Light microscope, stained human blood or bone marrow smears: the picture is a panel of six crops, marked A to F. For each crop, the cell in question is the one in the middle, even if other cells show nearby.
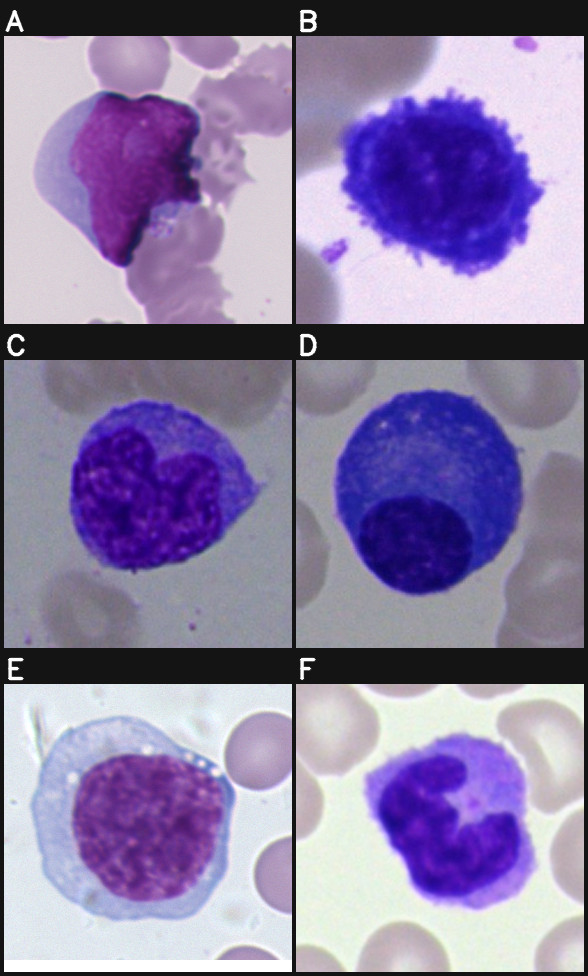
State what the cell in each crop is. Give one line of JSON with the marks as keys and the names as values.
{"A": "blast", "B": "plasma cell", "C": "monocyte", "D": "plasma cell", "E": "blast", "F": "monocyte"}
